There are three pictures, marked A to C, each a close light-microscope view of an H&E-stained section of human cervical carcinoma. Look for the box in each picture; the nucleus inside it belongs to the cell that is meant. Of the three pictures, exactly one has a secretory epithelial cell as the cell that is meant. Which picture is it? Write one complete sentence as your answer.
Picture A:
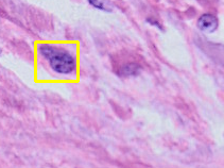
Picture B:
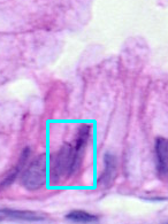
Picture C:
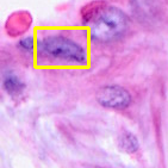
Picture B shows the secretory epithelial cell.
